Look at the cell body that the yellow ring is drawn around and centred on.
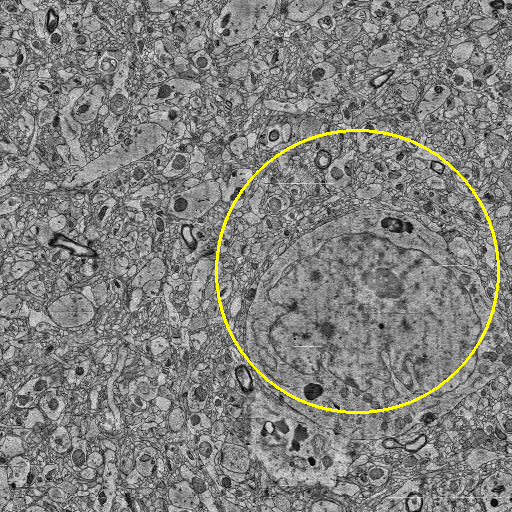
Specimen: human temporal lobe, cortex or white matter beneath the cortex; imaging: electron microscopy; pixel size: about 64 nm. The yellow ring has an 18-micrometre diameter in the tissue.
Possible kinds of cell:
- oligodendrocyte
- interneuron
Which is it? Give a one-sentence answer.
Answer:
The centred cell body is that of an interneuron.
